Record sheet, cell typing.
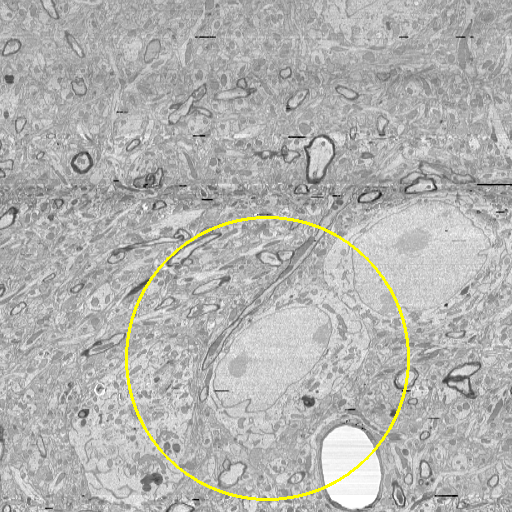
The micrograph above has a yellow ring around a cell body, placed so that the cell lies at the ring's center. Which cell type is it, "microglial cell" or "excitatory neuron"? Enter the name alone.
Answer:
excitatory neuron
